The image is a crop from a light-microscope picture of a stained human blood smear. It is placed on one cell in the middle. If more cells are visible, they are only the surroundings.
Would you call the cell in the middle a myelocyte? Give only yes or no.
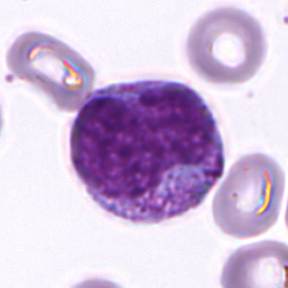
yes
